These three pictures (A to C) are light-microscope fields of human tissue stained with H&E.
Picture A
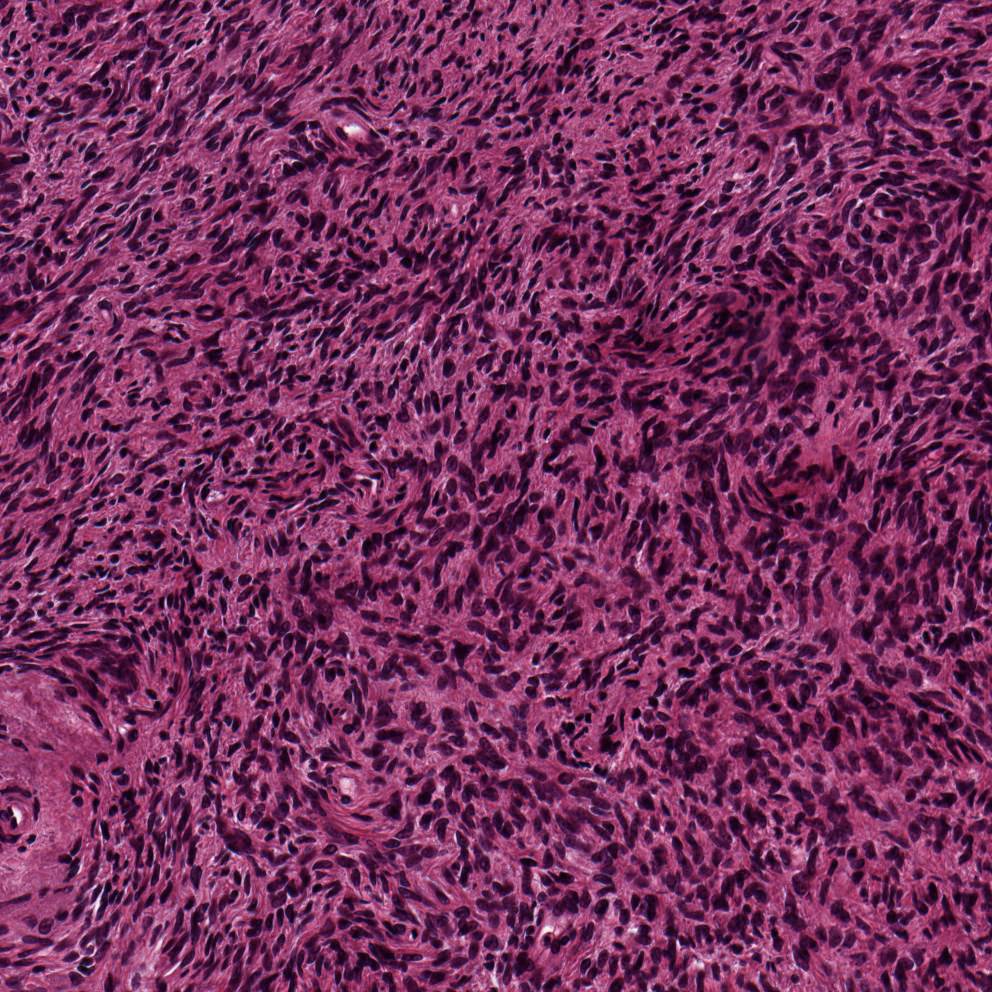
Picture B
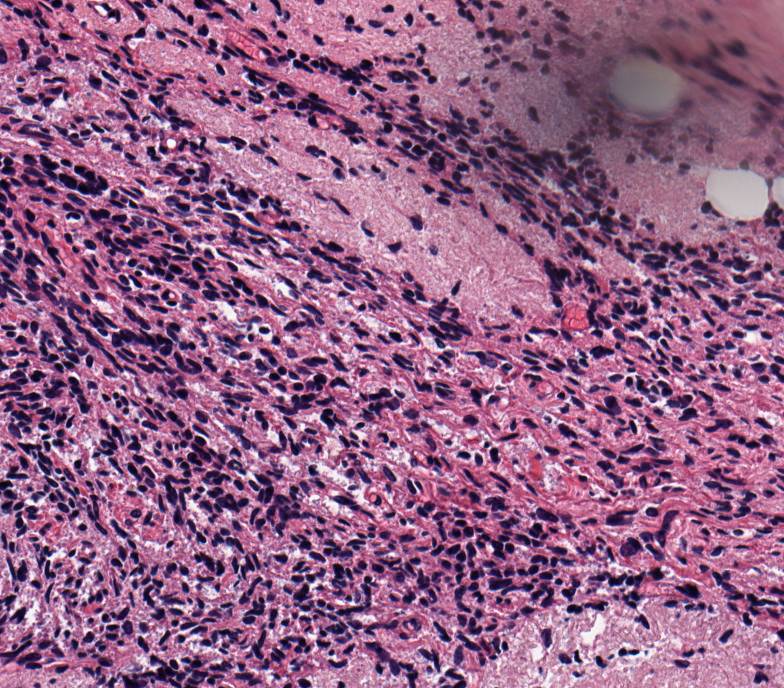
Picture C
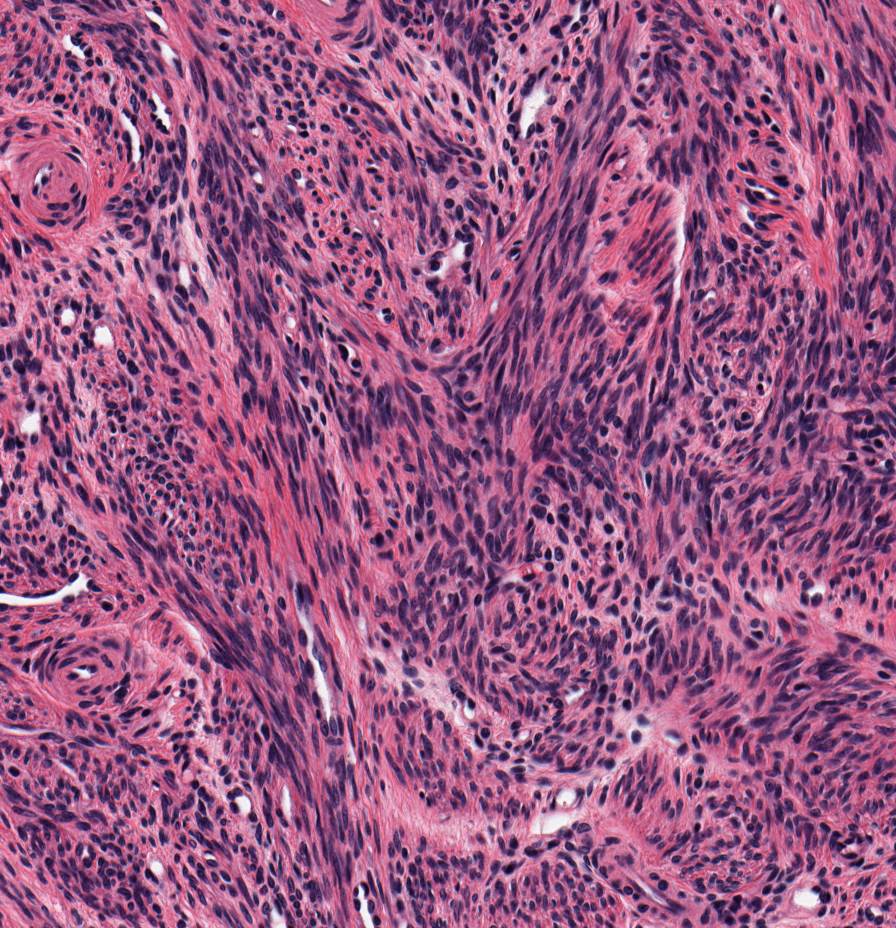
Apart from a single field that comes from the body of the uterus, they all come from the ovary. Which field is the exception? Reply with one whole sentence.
It is picture C that comes from the body of the uterus.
